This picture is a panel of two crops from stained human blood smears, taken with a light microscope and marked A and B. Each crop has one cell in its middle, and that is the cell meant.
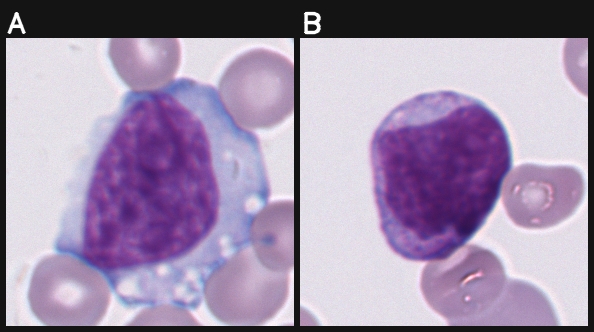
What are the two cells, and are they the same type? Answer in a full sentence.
No, in fact crop A shows a myeloblast, and crop B shows an atypical promyelocyte.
